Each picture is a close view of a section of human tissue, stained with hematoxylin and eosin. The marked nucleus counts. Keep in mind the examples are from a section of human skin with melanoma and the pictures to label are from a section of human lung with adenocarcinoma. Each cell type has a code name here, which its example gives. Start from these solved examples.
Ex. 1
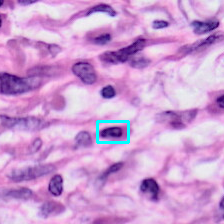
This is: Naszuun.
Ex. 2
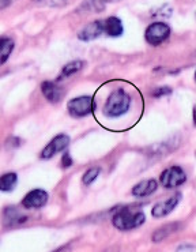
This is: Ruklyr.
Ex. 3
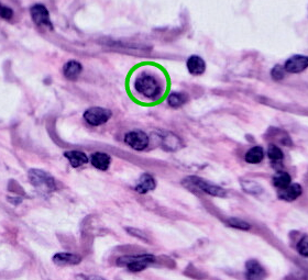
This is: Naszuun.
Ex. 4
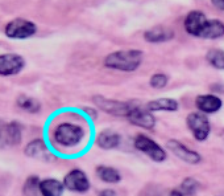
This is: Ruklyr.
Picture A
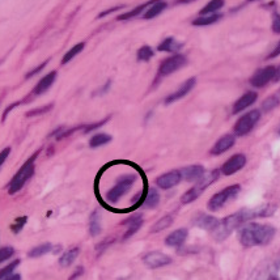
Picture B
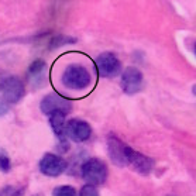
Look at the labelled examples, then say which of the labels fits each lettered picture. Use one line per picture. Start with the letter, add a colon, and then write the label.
A: Ruklyr.
B: Ruklyr.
